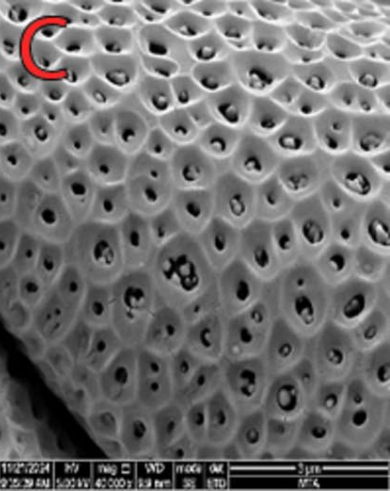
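This is a close-up of the outer wall of a pollen grain at high magnification. The surface forms a network of smooth, rounded ridges enclosing small polygonal pits, like a honeycomb. Many of the pits are pierced by one or a few tiny dark holes, and the pits become smaller toward the curved edge at the lower left.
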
